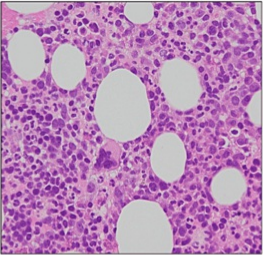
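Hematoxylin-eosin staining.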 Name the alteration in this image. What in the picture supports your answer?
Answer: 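Densely packed hematopoietic cells fill the space between the fat spaces. Fat spaces are few relative to the cellular area. The answer: hypercellular marrow.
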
